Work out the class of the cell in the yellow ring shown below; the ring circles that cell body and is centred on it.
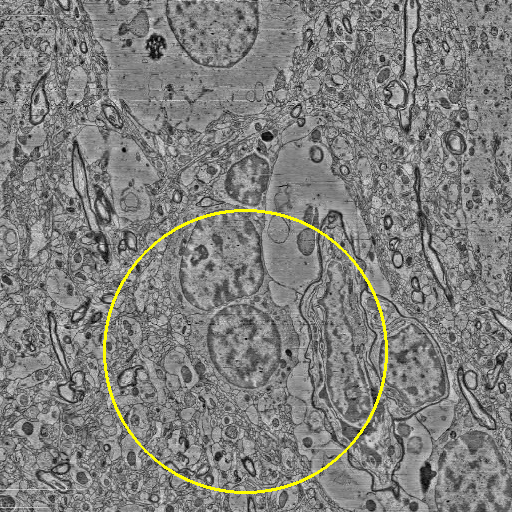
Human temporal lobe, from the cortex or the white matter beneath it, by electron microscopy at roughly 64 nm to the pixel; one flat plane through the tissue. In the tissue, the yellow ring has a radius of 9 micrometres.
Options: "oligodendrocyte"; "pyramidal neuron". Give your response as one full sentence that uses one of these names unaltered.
The body ringed in yellow, right at the ring's centre, is that of an oligodendrocyte.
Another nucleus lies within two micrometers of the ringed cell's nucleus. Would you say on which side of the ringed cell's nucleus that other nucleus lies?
That second nucleus is above it.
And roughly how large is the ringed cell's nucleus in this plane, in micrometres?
The ringed cell's nucleus is about 6 micrometres long and 4 micrometres wide in this plane.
